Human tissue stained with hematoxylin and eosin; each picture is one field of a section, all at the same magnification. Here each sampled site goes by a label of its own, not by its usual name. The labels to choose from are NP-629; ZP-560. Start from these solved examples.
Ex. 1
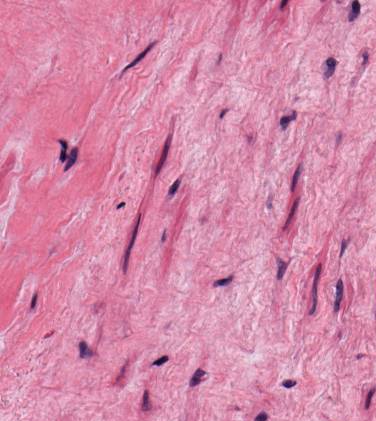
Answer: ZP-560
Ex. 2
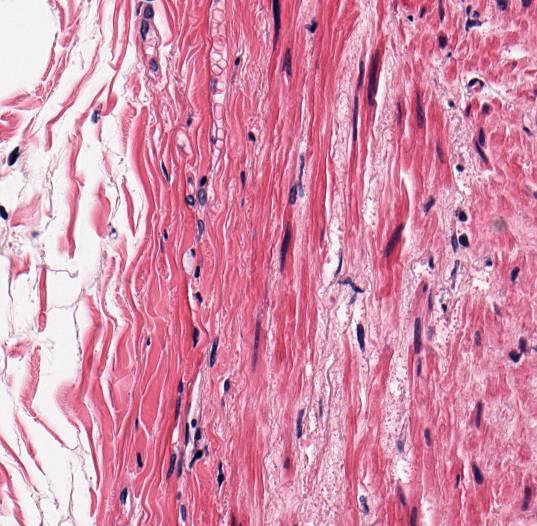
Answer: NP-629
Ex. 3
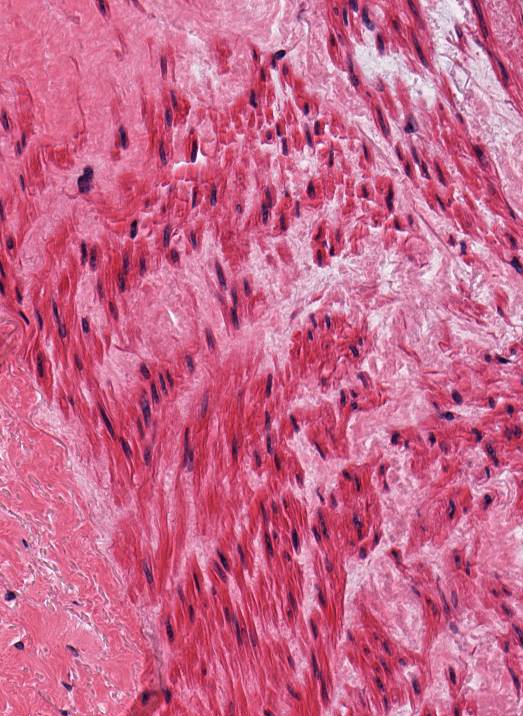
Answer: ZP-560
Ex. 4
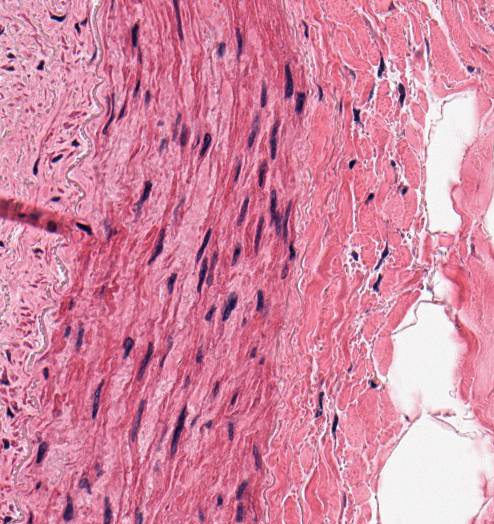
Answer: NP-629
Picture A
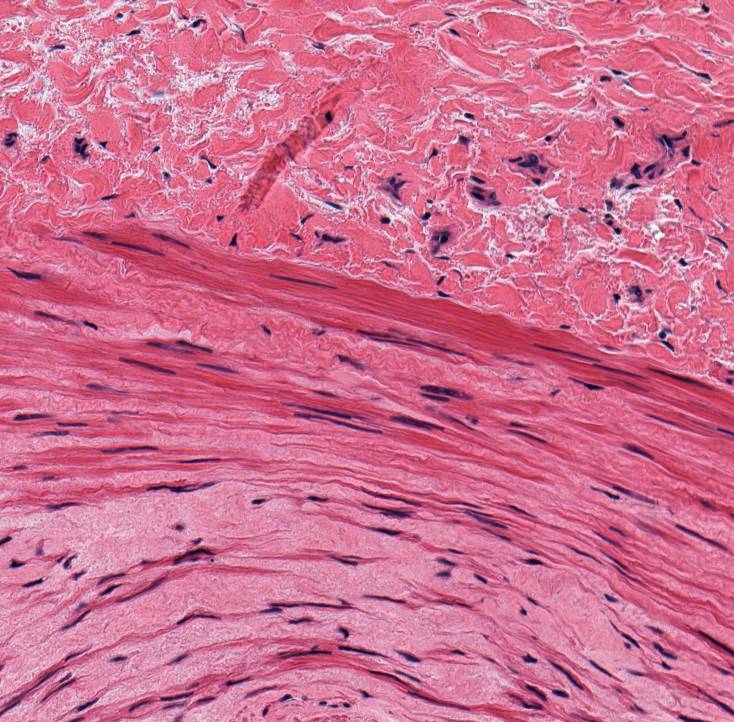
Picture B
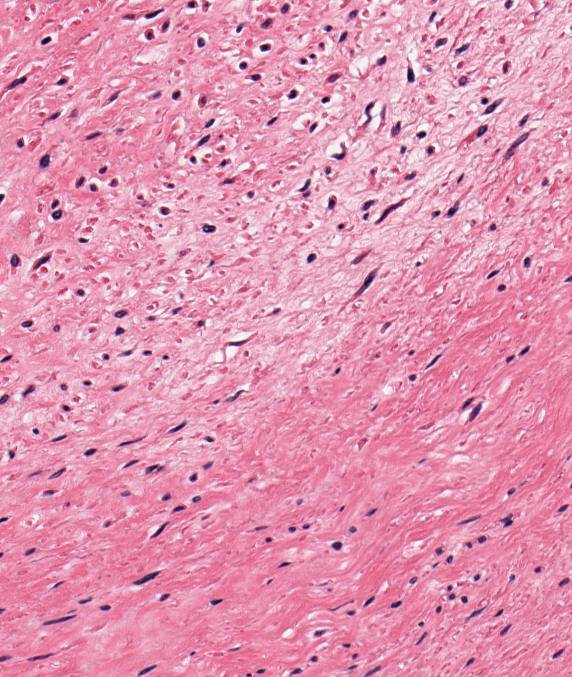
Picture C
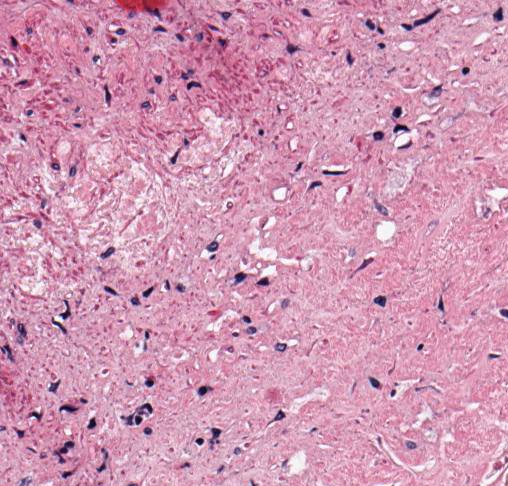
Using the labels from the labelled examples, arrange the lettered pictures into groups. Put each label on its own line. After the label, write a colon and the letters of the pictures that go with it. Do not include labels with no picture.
NP-629: B, C
ZP-560: A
